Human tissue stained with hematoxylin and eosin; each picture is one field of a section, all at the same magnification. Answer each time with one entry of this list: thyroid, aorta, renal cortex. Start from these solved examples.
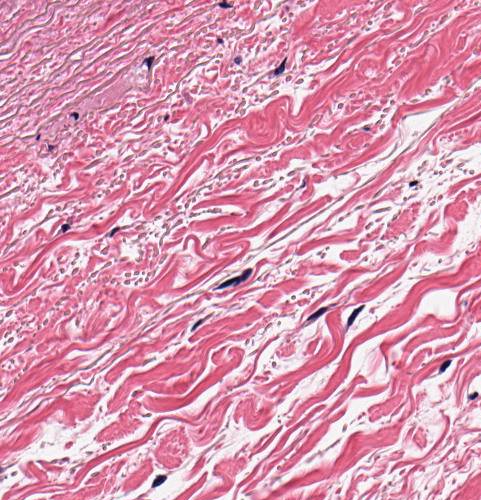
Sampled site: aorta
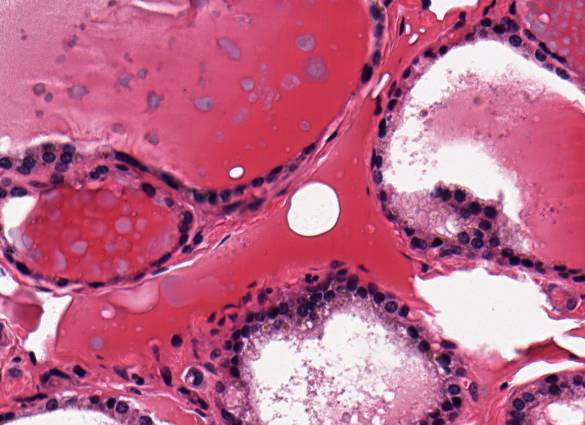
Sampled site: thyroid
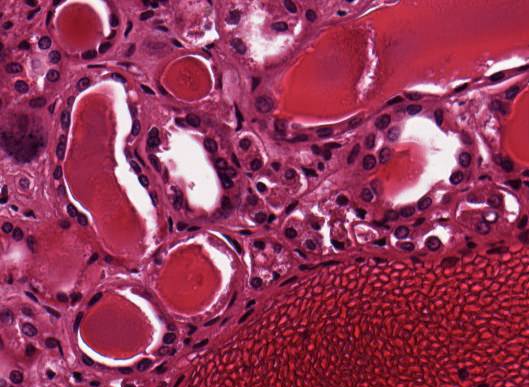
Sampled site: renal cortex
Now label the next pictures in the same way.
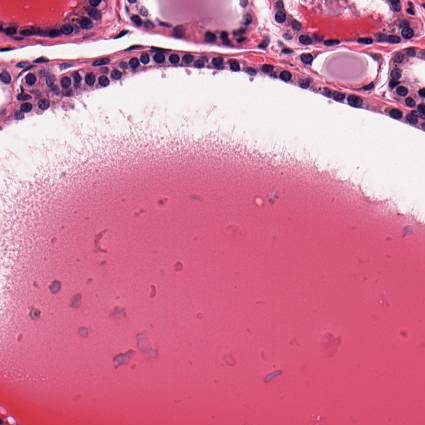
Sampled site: thyroid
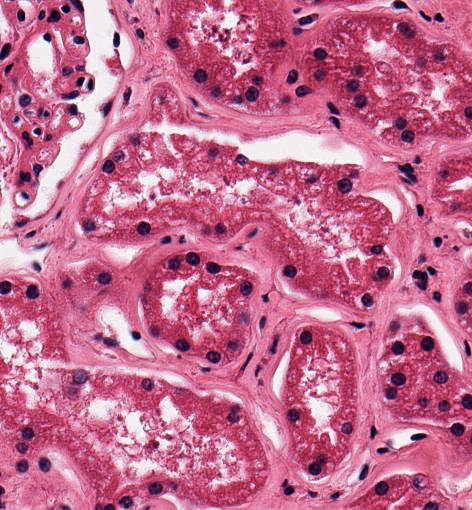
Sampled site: renal cortex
